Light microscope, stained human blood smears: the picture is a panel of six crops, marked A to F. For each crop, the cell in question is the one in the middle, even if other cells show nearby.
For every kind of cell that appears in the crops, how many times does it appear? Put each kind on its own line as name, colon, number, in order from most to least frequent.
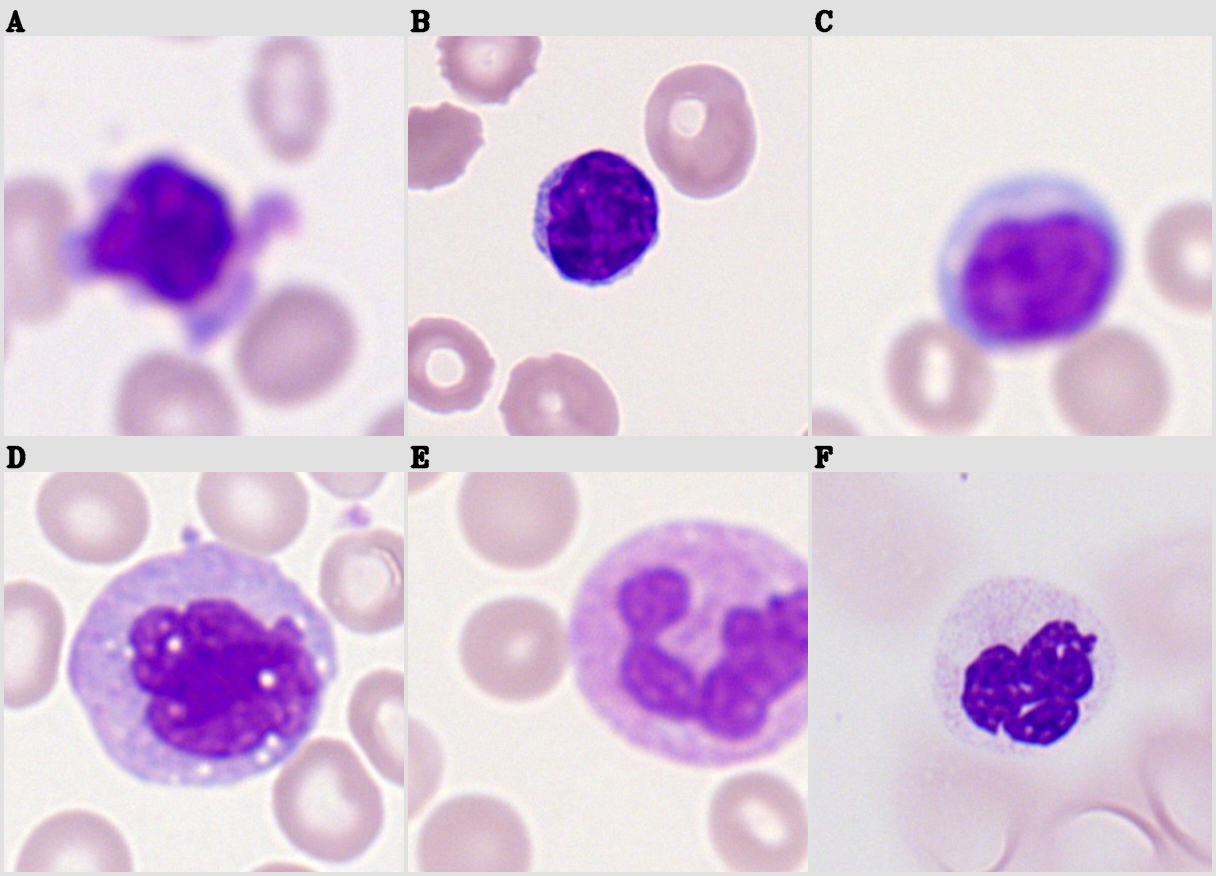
lymphocyte: 3
segmented neutrophil: 2
monocyte: 1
